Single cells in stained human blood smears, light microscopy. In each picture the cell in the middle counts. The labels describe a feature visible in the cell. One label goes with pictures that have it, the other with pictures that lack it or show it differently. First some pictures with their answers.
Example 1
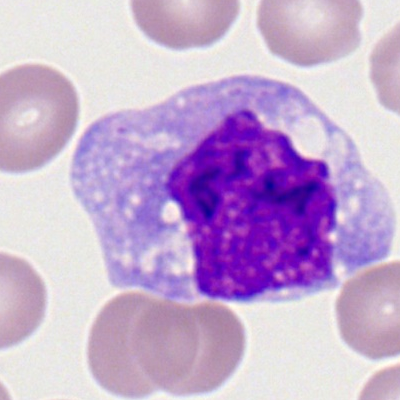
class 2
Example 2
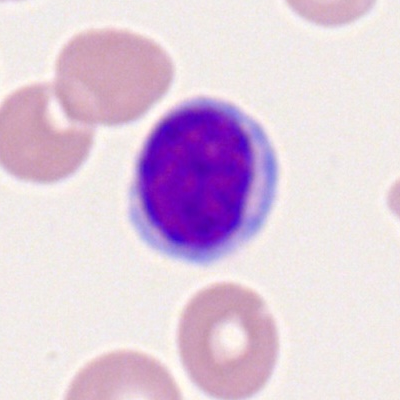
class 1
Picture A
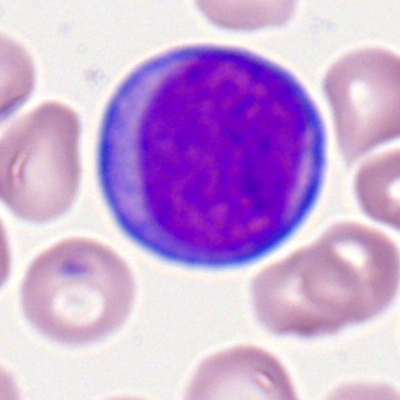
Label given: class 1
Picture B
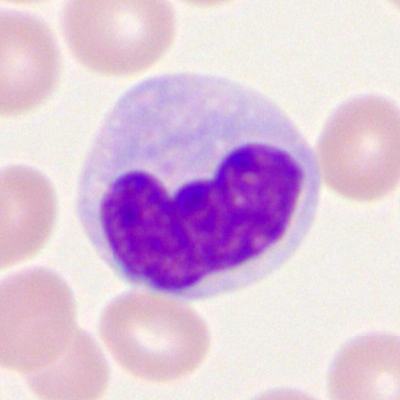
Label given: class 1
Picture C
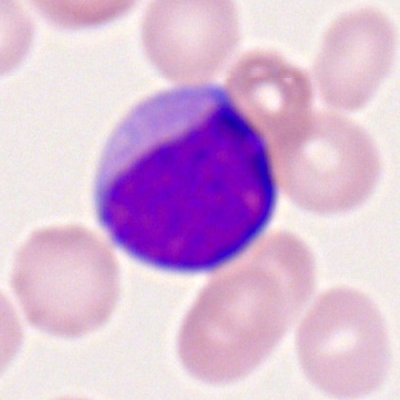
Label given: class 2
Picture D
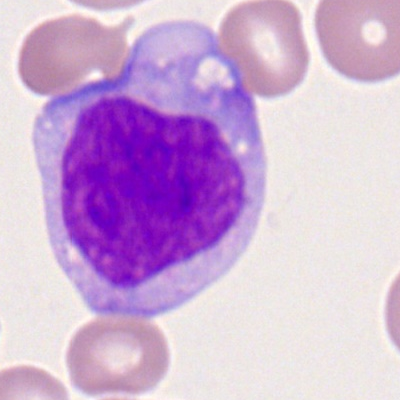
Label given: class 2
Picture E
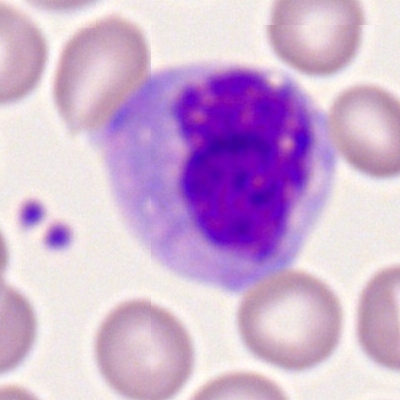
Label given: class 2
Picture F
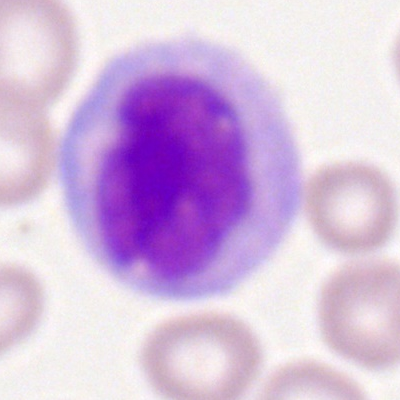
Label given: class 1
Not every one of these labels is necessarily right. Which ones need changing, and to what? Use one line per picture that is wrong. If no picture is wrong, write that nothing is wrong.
C: not class 2 but class 1
E: not class 2 but class 1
